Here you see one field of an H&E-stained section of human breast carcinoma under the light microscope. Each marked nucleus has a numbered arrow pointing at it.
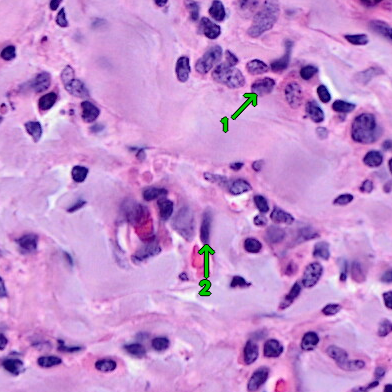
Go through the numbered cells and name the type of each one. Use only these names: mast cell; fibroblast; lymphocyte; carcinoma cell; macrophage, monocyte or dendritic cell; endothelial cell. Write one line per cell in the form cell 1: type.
cell 1: lymphocyte
cell 2: endothelial cell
